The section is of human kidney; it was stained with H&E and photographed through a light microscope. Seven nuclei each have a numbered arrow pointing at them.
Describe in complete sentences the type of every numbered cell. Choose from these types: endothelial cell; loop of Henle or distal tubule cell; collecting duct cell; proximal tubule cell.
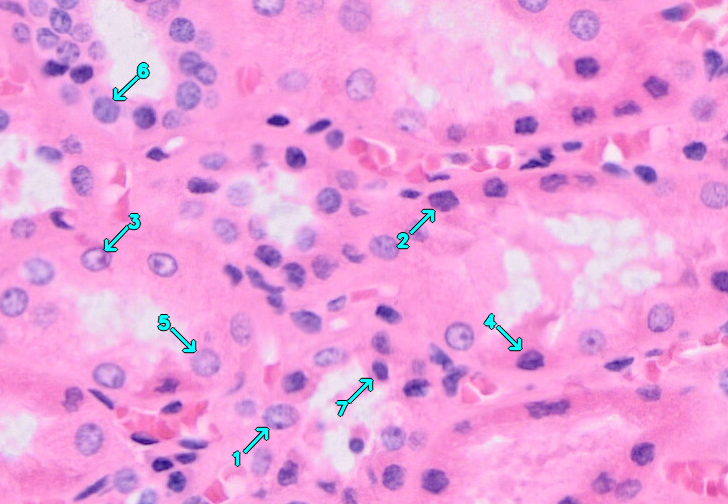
Cells 1 and 7 are loop of Henle or distal tubule cells. Cells 2, 3, 4 and 5 are proximal tubule cells. Cell 6 is a collecting duct cell.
